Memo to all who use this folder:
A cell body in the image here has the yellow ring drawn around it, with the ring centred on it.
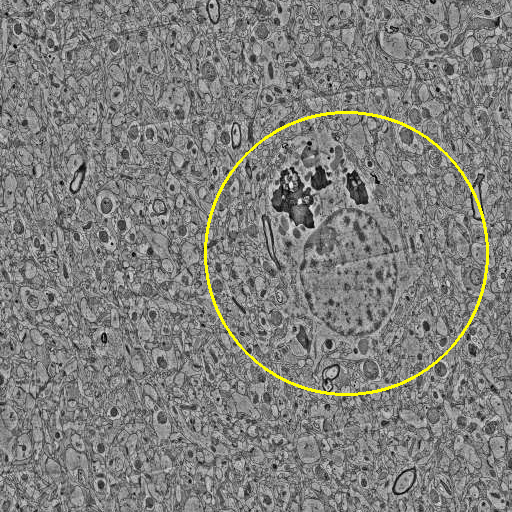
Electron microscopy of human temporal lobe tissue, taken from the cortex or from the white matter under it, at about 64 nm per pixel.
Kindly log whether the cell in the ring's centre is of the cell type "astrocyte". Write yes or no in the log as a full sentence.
Yes, logged: the ring in this image is centred on a cell of that type.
